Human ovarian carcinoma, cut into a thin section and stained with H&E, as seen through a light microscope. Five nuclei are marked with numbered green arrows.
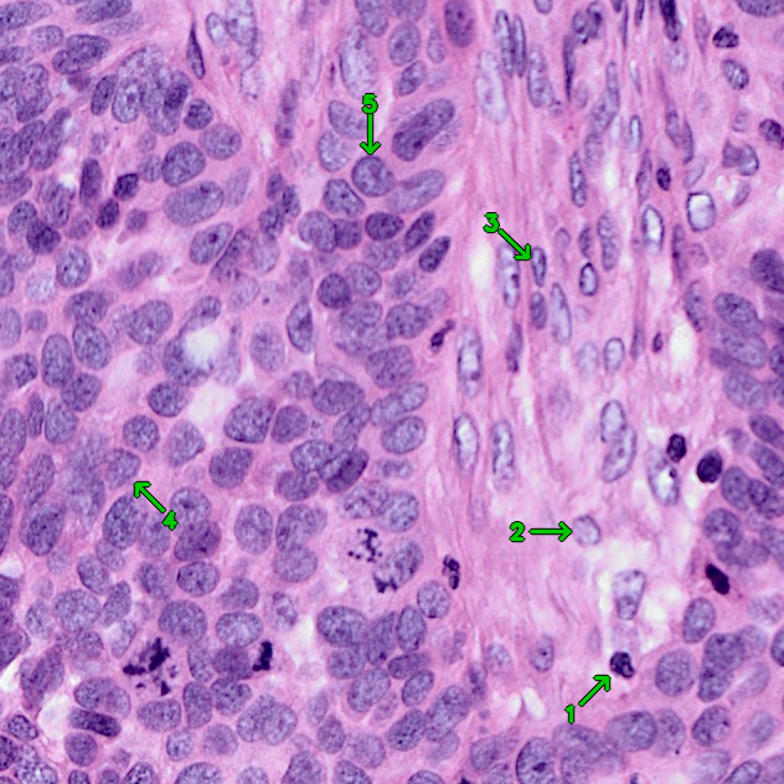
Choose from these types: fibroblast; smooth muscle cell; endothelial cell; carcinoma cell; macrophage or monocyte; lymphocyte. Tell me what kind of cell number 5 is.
carcinoma cell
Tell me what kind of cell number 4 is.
carcinoma cell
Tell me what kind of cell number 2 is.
fibroblast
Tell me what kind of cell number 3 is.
fibroblast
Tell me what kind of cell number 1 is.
lymphocyte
